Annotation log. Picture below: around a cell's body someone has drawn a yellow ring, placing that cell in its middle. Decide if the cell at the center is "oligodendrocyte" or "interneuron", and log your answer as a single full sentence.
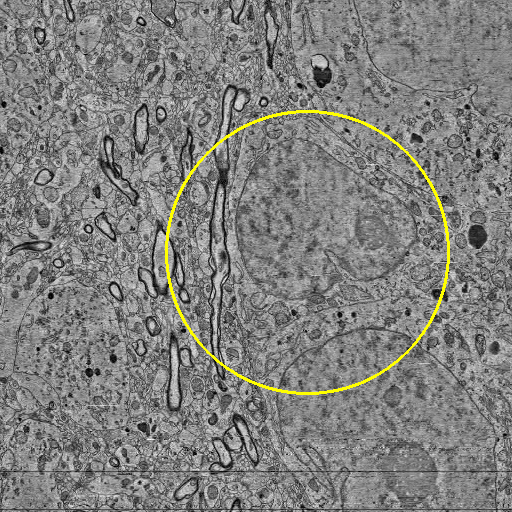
My entry records an interneuron as the cell sitting at the center of the yellow ring.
